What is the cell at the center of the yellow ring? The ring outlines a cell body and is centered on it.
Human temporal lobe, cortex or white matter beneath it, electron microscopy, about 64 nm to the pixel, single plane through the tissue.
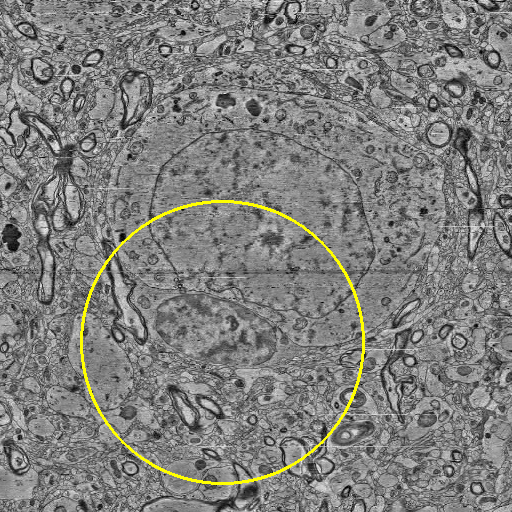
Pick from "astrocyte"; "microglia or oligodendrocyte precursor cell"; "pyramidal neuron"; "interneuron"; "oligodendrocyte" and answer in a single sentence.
The yellow ring is centered on an oligodendrocyte.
